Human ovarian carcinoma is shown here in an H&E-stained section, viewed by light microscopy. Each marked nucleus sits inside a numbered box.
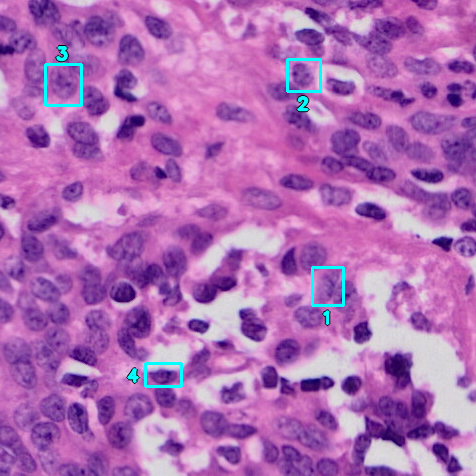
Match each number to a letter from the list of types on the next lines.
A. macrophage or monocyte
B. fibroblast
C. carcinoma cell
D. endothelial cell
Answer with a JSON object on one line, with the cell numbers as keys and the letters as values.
{"1": "C", "2": "A", "3": "C", "4": "C"}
